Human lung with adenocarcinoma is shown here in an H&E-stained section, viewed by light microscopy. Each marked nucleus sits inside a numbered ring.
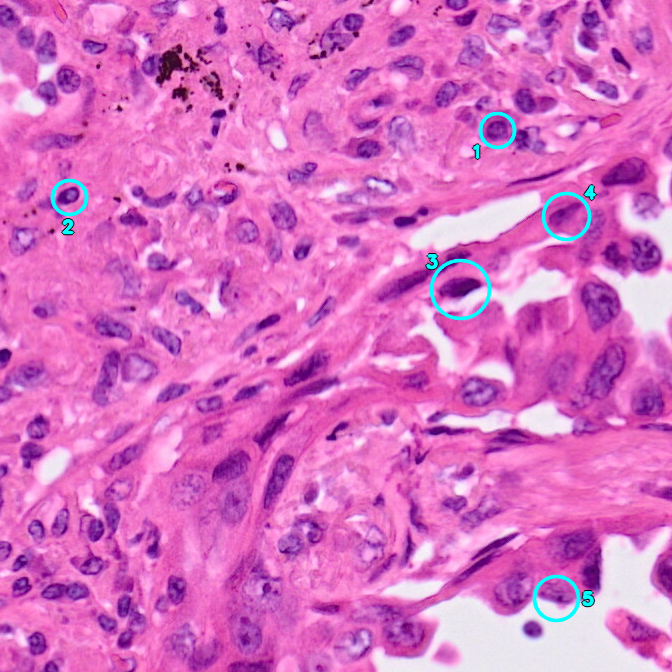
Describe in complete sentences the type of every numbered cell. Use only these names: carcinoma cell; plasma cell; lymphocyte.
Cell 1 is a plasma cell, cell 2 is a lymphocyte, cell 3 is a carcinoma cell, cell 4 is a carcinoma cell and cell 5 is a carcinoma cell.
